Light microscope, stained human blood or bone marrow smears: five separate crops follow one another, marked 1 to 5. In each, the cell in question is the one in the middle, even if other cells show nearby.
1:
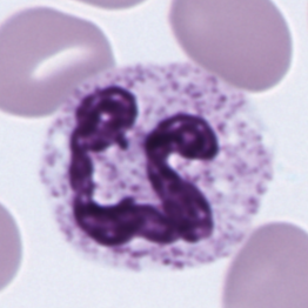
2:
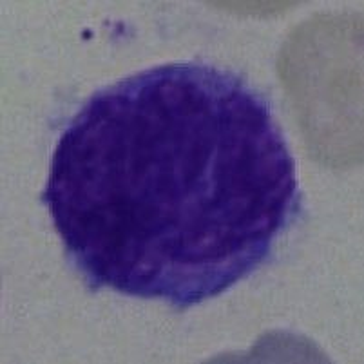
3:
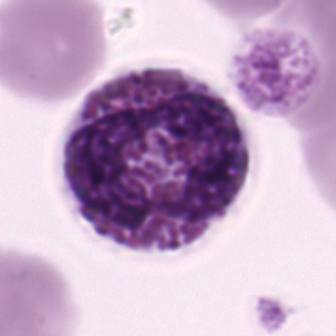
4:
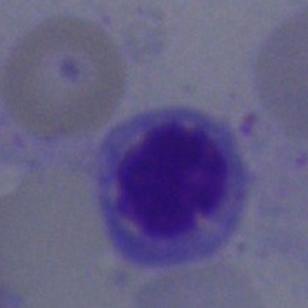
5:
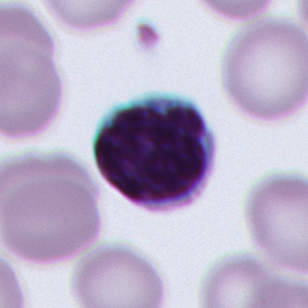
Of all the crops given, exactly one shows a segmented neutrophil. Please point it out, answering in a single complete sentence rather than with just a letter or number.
Crop 1, and no other, is the one that shows a segmented neutrophil.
